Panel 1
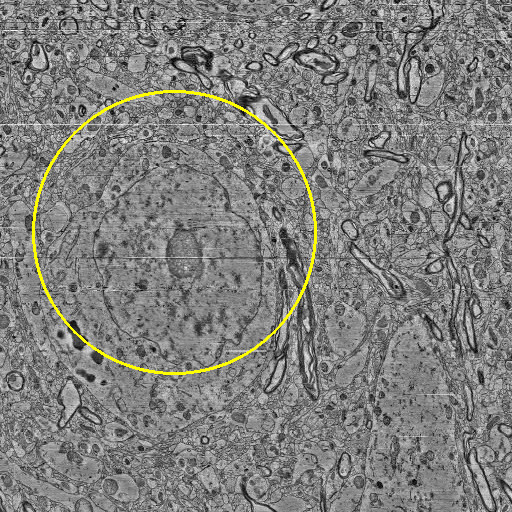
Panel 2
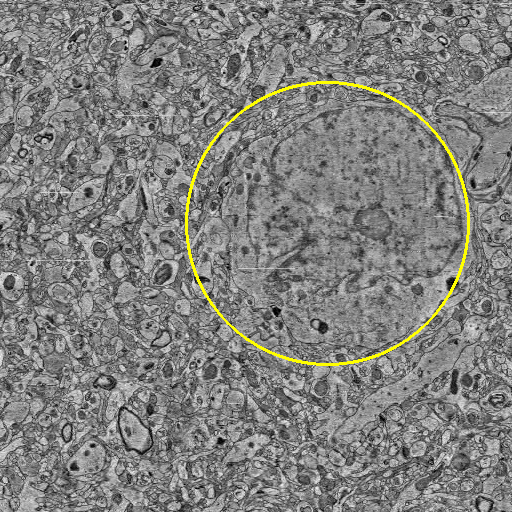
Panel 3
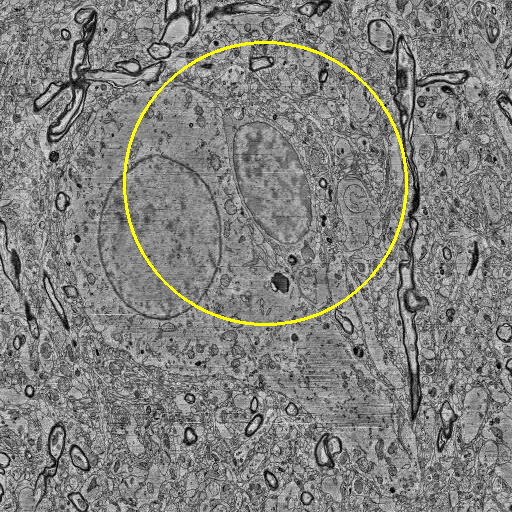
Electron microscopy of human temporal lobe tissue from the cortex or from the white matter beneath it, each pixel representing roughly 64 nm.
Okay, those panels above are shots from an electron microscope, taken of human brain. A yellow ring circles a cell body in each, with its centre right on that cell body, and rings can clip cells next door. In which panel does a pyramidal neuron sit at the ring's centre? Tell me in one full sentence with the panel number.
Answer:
The cell you asked for sits at the ring's centre in panel 1.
